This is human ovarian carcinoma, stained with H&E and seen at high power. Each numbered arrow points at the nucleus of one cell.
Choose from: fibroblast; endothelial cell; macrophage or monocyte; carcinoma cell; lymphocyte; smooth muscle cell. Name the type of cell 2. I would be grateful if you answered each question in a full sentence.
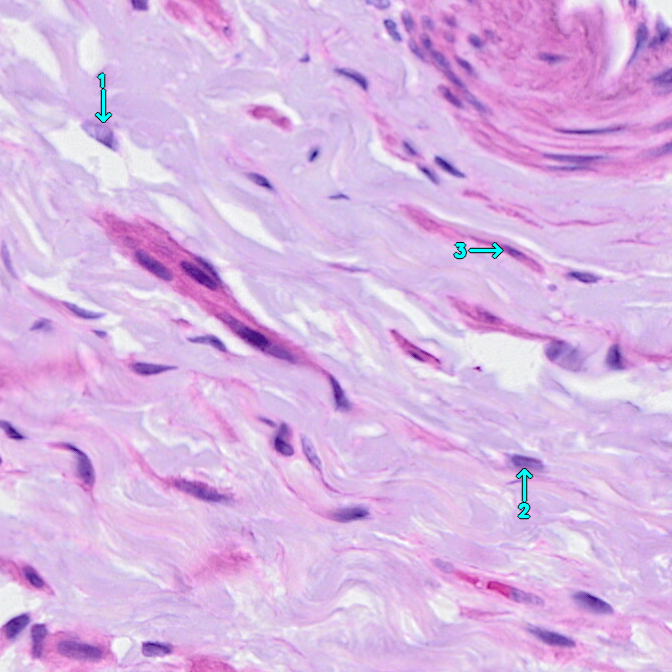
Recognised here as a fibroblast is the cell numbered 2.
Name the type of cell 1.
Belonging to a fibroblast is the nucleus that carries the number 1.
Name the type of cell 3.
The cell whose nucleus carries the number 3 is a smooth muscle cell.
